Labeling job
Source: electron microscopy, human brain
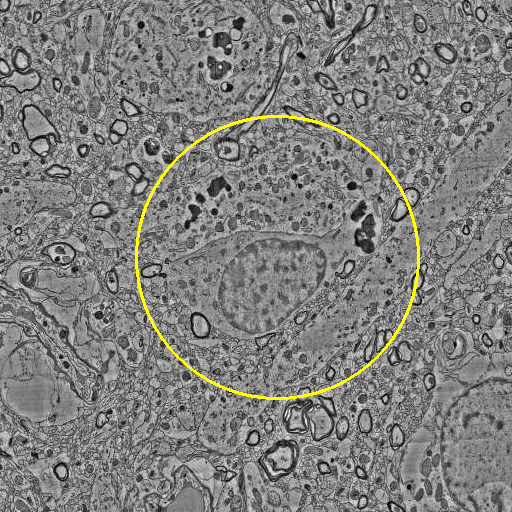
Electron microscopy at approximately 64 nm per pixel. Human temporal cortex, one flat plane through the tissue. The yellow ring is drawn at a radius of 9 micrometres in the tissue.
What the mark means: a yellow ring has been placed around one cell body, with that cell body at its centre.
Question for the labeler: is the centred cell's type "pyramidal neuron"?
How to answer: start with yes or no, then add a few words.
No, its type is another one.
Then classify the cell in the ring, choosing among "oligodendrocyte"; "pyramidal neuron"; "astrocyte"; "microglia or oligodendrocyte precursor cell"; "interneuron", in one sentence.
The answer is that the ringed cell is an oligodendrocyte.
